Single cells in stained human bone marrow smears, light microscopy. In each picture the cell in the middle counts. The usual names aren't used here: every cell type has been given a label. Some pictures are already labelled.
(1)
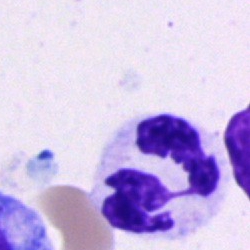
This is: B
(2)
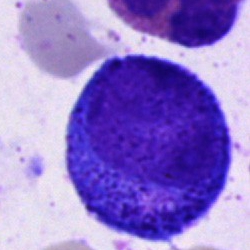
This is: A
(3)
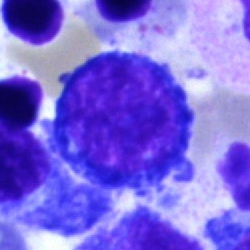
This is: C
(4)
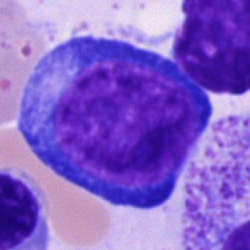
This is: C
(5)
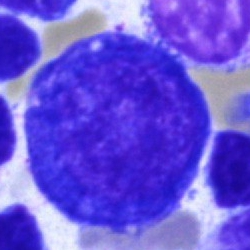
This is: C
